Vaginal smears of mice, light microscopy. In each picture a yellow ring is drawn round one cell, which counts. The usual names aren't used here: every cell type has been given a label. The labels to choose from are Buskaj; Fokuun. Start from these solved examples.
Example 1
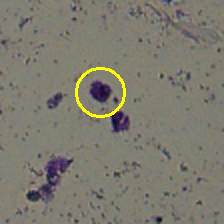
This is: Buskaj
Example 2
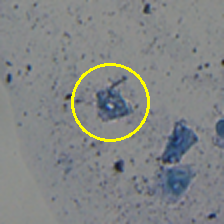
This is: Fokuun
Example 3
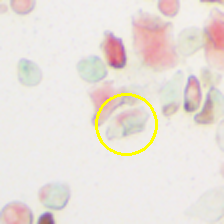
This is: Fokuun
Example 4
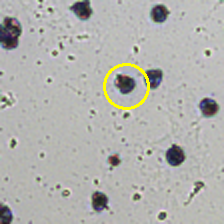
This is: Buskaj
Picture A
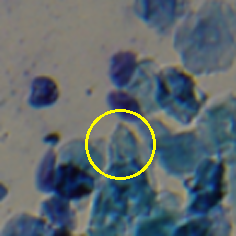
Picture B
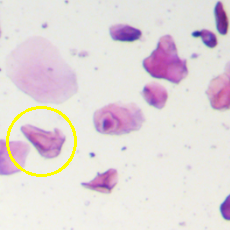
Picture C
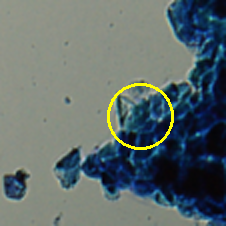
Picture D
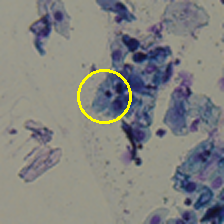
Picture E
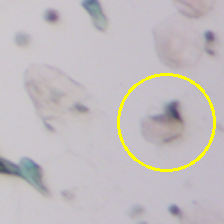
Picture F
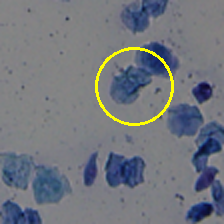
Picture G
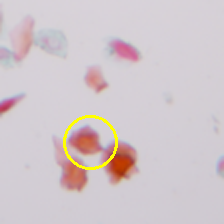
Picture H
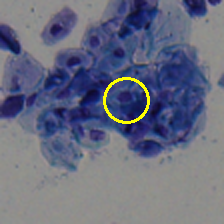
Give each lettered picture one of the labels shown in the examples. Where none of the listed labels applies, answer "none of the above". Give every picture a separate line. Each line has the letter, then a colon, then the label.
A: Fokuun
B: Fokuun
C: Fokuun
D: none of the above
E: Fokuun
F: Fokuun
G: Fokuun
H: none of the above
